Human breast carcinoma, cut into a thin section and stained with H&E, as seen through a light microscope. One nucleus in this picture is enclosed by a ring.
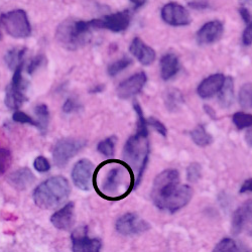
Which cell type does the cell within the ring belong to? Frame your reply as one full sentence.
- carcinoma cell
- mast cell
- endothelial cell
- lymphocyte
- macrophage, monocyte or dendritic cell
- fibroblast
To be brief about it, the cell within the ring is a carcinoma cell.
